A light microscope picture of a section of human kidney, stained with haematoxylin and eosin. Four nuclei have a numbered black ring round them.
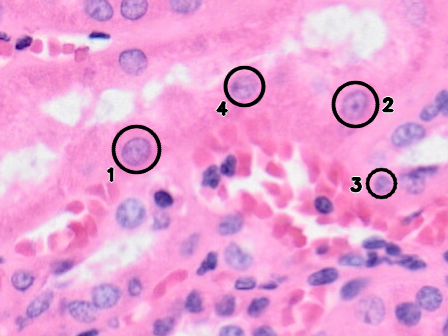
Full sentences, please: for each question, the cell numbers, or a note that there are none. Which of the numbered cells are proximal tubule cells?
The cells numbered 1, 2 and 4 are identified as proximal tubule cells.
